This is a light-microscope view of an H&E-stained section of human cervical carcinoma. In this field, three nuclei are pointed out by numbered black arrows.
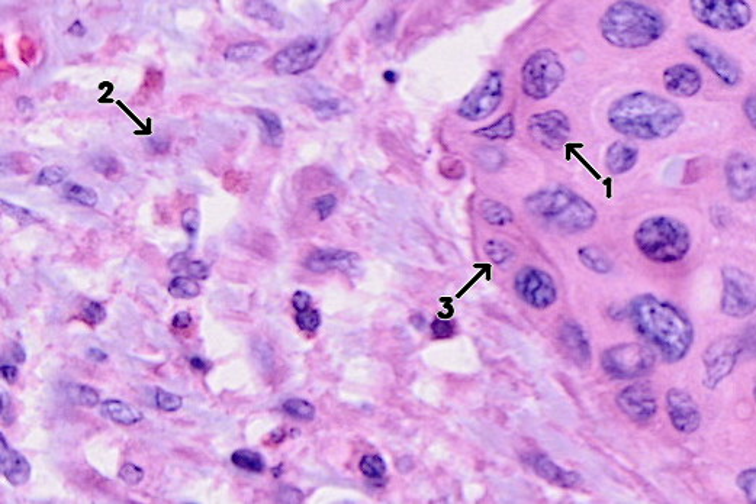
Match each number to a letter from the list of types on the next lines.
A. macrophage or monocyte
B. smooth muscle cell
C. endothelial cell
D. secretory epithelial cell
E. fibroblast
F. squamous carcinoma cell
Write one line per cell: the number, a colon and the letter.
1: F
2: E
3: F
